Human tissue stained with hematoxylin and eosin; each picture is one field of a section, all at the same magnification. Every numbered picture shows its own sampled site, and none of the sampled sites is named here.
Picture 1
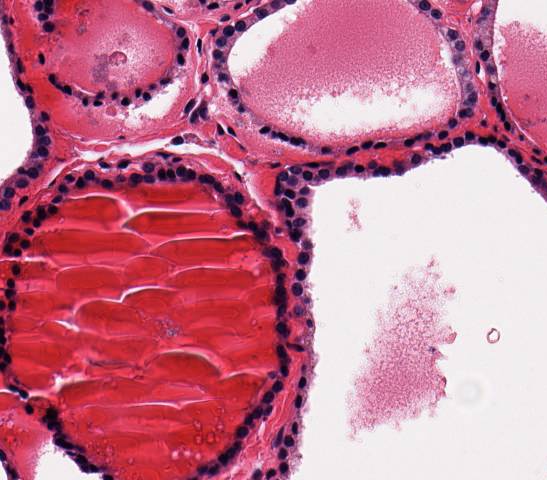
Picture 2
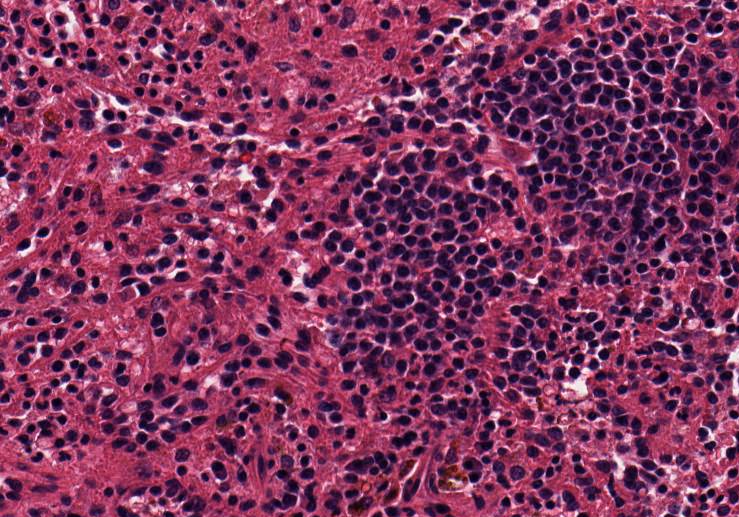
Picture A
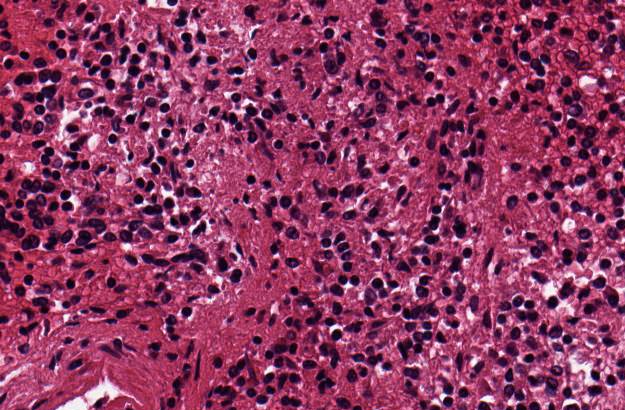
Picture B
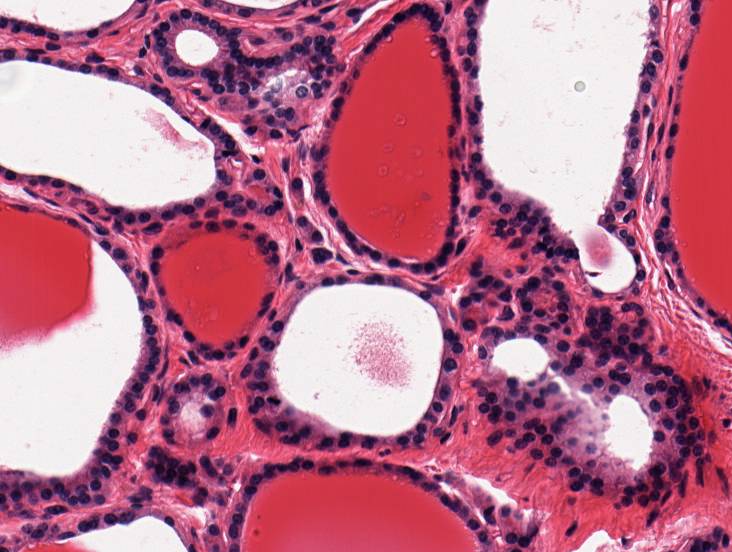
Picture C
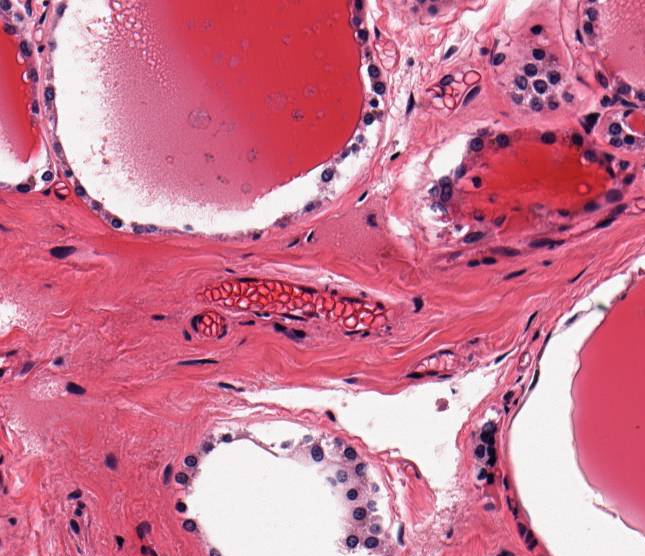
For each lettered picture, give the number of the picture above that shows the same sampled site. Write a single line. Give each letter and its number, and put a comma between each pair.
A 2, B 1, C 1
